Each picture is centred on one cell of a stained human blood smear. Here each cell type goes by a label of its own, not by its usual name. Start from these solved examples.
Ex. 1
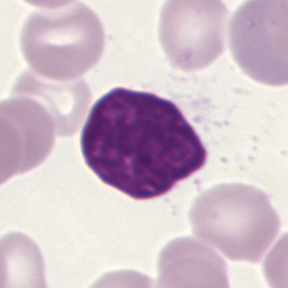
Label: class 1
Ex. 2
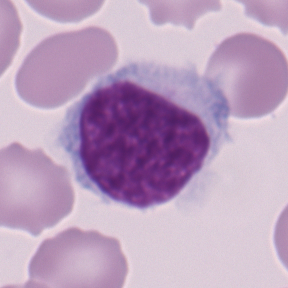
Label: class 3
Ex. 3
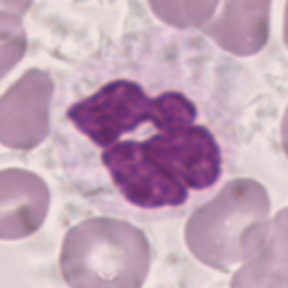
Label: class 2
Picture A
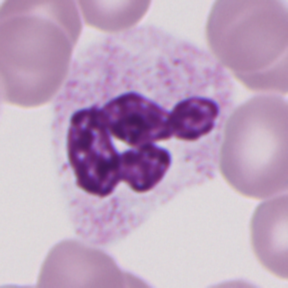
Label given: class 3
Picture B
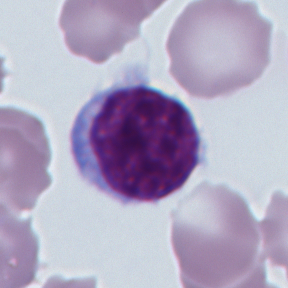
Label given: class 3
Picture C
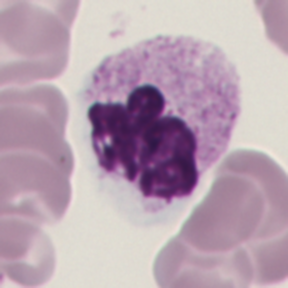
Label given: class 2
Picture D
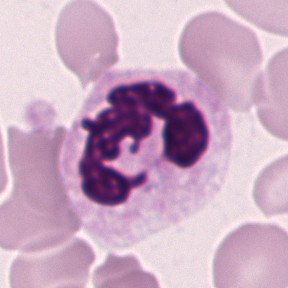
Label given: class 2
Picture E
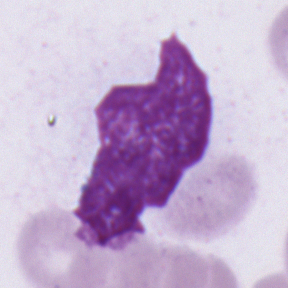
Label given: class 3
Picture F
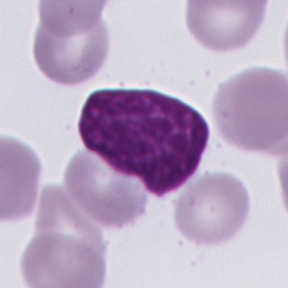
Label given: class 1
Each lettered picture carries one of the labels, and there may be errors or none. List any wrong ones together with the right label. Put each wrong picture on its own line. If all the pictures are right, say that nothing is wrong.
Wrong: A (class 3); correct: class 2
Wrong: E (class 3); correct: class 1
